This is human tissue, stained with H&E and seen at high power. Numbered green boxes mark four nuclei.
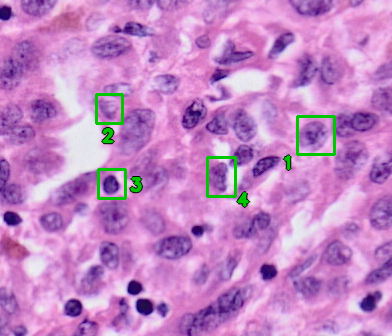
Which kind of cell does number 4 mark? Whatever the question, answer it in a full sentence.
The numbered cell 4 in this field is a melanoma cell.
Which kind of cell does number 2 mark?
Classified as a melanoma cell is the cell with the number 2.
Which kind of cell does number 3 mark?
The mark numbered 3 indicates the nucleus of a lymphocyte.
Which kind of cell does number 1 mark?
Cell 1 should be recorded as a melanoma cell.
